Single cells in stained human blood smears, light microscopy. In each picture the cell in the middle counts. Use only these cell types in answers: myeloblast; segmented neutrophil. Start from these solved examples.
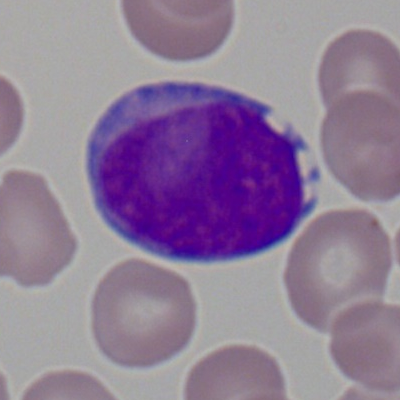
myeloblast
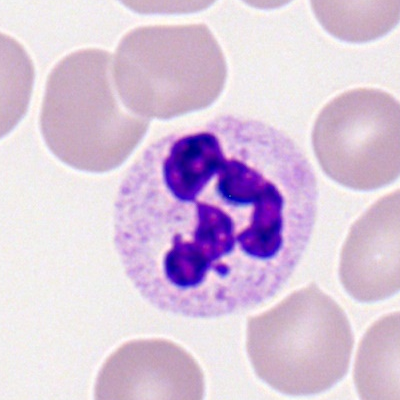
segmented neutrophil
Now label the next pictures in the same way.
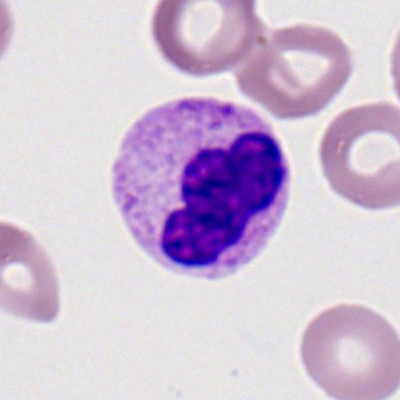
segmented neutrophil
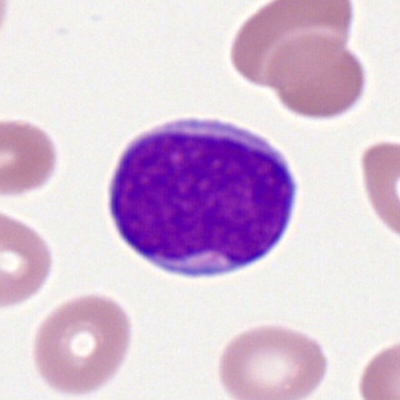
myeloblast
